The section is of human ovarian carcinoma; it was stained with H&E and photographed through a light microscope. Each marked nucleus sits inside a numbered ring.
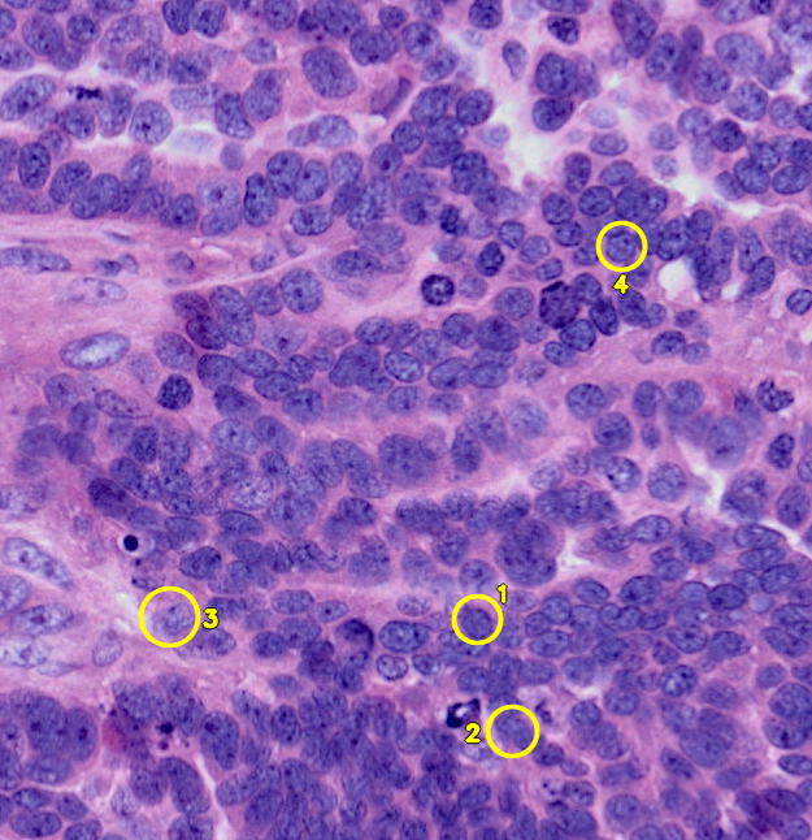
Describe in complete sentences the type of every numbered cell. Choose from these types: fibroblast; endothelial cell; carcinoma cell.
Cells 1, 2 and 4 are carcinoma cells. Cell 3 is a fibroblast.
